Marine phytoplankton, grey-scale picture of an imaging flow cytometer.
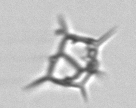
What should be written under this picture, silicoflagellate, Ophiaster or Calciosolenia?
silicoflagellate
